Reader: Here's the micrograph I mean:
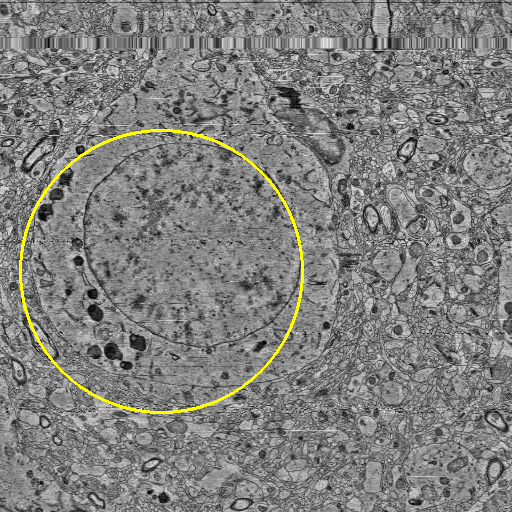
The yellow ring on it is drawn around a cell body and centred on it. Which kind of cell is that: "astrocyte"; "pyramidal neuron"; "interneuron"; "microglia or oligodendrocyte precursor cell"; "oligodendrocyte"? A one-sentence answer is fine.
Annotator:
The ring is centred on a pyramidal neuron.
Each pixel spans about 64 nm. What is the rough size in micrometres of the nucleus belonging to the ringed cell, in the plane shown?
About 14 micrometers across, in this plane.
